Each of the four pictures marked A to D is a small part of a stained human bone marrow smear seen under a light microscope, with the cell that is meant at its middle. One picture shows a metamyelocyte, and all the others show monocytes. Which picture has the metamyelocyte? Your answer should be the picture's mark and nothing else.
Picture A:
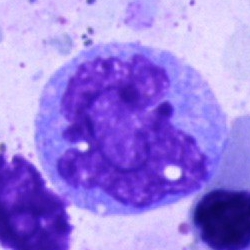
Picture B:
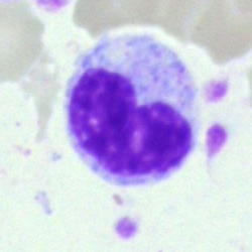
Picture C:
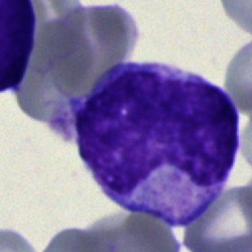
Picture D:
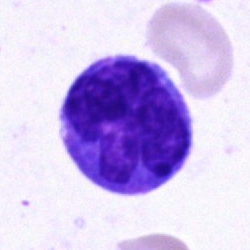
B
